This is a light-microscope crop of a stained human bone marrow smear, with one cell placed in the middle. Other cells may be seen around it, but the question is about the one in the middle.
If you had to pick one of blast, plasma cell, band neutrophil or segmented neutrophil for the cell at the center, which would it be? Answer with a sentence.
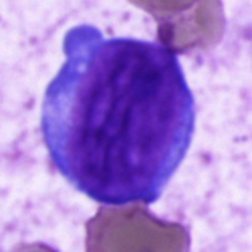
Regarding the central cell, it is a blast.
